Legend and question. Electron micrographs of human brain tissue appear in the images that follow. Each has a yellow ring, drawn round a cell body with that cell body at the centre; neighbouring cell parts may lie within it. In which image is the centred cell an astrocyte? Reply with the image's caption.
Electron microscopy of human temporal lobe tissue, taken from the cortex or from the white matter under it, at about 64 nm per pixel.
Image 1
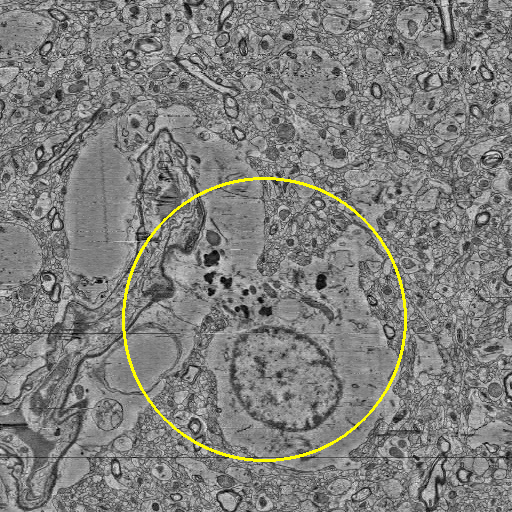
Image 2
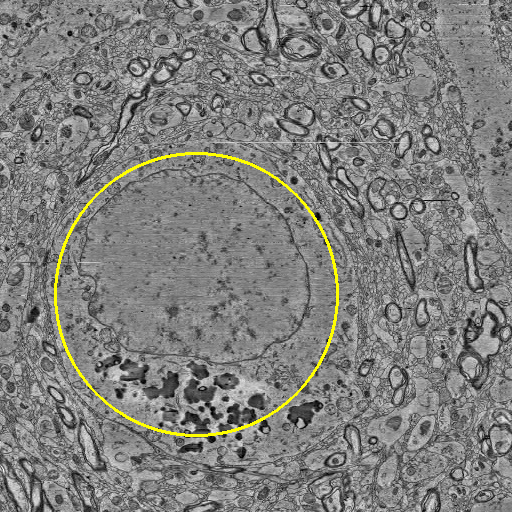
Image 1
